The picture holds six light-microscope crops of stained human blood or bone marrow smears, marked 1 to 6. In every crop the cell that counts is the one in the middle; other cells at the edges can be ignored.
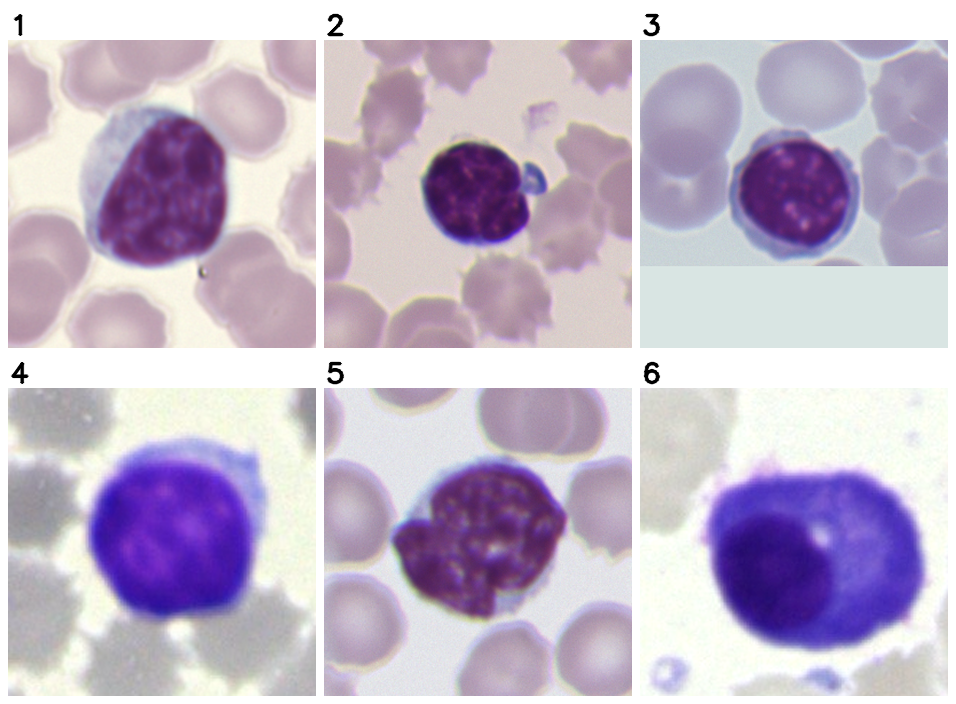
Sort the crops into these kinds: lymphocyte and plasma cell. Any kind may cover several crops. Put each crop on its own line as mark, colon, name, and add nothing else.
1: lymphocyte
2: lymphocyte
3: lymphocyte
4: lymphocyte
5: lymphocyte
6: plasma cell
